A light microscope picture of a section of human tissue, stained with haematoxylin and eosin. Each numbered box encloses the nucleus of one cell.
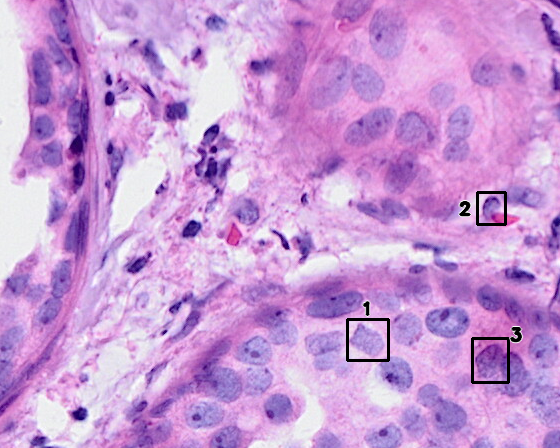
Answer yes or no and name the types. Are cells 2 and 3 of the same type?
No, cell 2 is recognized as an endothelial cell, and cell 3 as a carcinoma cell.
